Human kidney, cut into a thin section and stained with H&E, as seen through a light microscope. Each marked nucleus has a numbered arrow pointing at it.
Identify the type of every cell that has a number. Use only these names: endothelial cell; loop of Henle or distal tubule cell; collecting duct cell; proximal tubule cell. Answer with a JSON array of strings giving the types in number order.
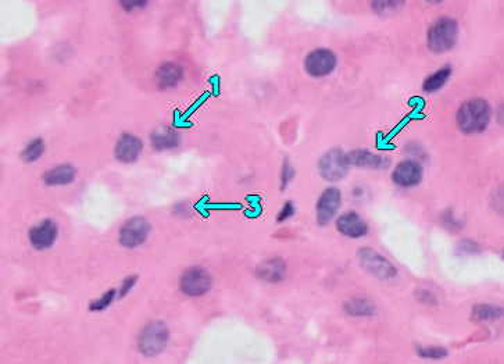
["loop of Henle or distal tubule cell", "collecting duct cell", "loop of Henle or distal tubule cell"]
